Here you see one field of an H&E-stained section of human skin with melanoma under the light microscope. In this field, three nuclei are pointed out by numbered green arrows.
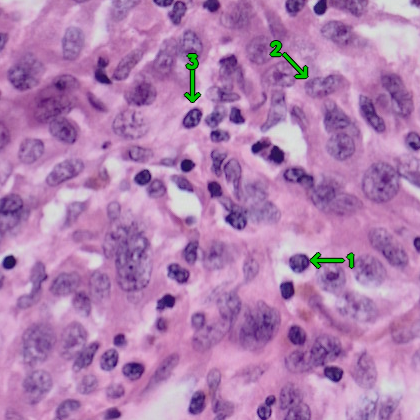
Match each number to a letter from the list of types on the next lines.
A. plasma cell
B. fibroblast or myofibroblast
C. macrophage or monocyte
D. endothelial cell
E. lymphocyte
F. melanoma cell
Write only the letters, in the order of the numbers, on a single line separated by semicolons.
E; F; E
